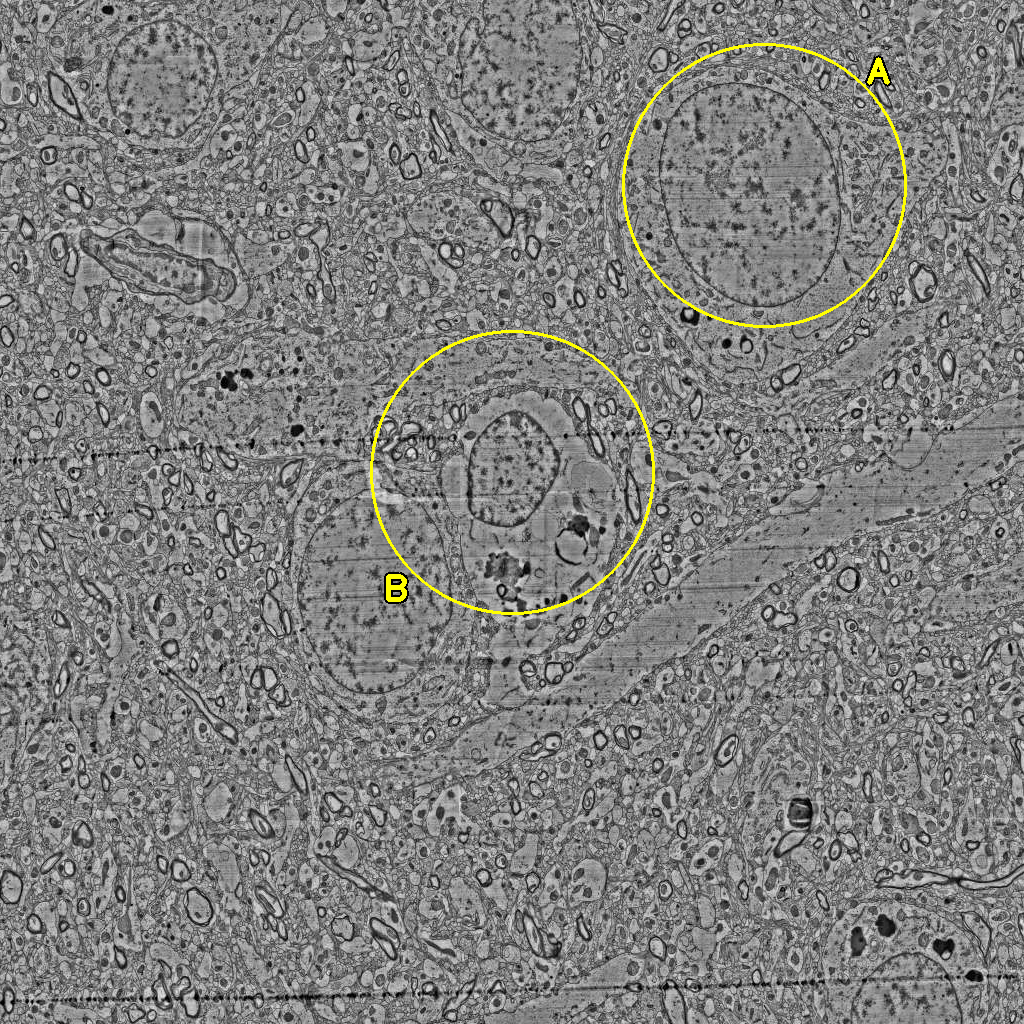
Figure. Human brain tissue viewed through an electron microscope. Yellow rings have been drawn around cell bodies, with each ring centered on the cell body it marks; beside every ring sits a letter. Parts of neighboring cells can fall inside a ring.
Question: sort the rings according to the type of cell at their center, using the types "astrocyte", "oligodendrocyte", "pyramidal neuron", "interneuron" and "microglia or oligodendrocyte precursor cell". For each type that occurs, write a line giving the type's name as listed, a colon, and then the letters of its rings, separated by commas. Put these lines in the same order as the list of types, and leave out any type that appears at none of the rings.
astrocyte: B
pyramidal neuron: A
